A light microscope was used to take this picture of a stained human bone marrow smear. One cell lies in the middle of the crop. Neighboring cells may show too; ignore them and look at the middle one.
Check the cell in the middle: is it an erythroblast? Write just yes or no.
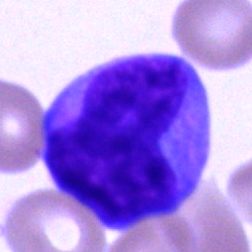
no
